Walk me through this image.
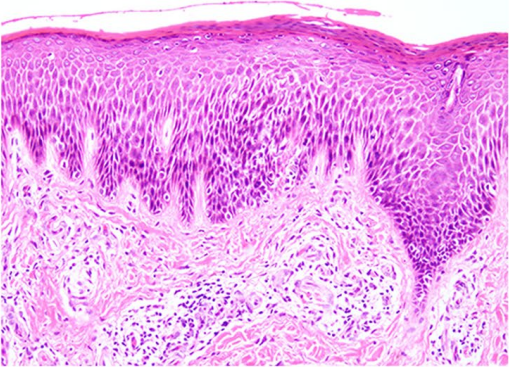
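Skin in section with epidermis above and superficial dermis below. The stratified squamous epidermis has a darker purple basal layer and rete ridges of varying length projecting downward, one broader downgrowth at the right. Keratinocytes above the base have pink cytoplasm and paler nuclei. A thin, compact pink cornified layer covers the surface and is partly detached from it. The underlying papillary dermis is pale pink and loose, containing small vessels surrounded by scattered small cells with dark round nuclei, forming a modest infiltrate in the upper dermis.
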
